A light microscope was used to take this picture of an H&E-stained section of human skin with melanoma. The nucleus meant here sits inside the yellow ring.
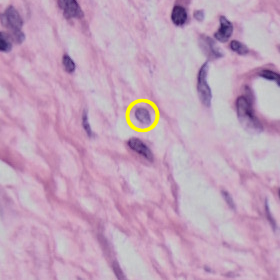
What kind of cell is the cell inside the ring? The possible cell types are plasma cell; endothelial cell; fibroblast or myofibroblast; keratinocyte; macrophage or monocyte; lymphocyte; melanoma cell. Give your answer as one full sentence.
To be brief about it, the cell inside the ring is a macrophage or monocyte.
